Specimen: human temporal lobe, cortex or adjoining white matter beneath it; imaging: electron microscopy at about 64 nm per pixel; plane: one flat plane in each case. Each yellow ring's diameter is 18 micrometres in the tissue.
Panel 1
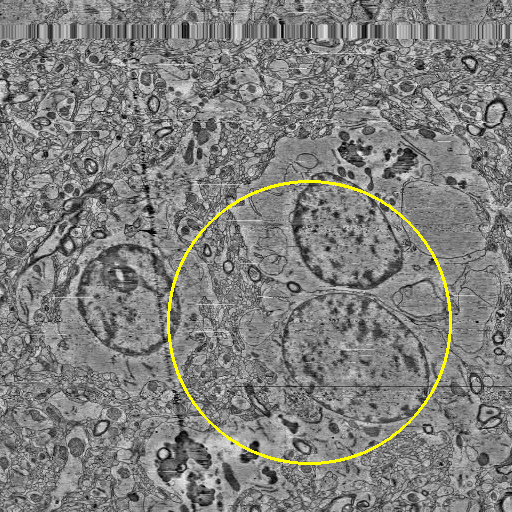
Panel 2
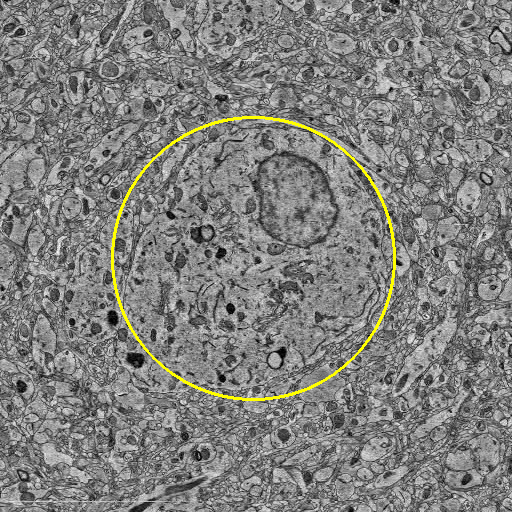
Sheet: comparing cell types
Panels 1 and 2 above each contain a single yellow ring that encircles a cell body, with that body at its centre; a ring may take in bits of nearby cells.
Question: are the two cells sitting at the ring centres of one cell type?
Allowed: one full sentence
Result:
No, the ring-centre cells in Panel 1 and Panel 2 are of two types.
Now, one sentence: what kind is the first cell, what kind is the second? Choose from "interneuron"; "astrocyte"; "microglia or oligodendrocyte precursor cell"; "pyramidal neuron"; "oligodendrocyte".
The first picture has an astrocyte at its ring centre, and the second has a pyramidal neuron.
